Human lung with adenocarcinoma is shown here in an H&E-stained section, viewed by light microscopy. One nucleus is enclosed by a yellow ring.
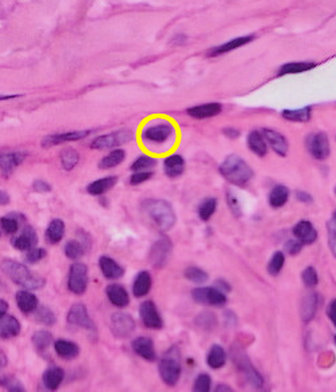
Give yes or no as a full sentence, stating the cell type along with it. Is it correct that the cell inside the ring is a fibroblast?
No, that is wrong: the cell inside the ring is a lymphocyte, not a fibroblast.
